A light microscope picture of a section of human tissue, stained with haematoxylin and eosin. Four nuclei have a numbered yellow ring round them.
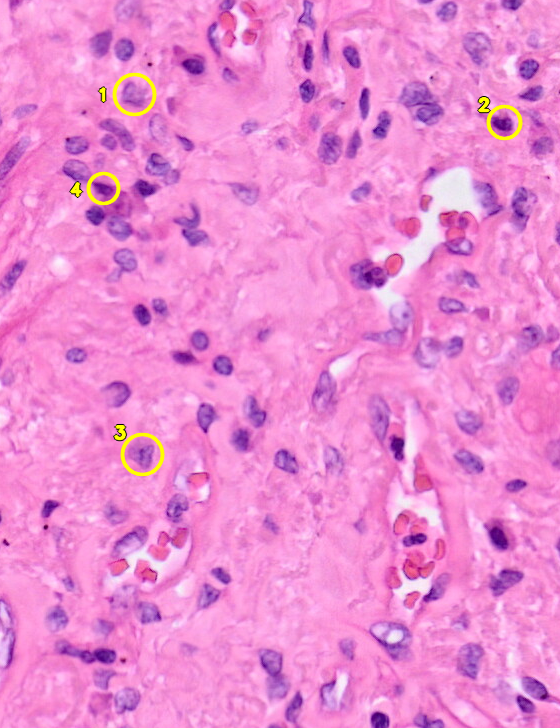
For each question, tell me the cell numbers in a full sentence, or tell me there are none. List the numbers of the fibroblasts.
In short, the numbered cells 1 and 3 are fibroblasts.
